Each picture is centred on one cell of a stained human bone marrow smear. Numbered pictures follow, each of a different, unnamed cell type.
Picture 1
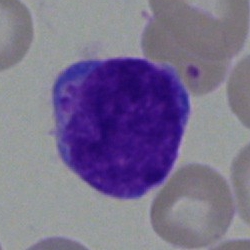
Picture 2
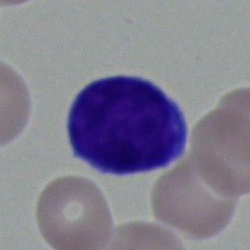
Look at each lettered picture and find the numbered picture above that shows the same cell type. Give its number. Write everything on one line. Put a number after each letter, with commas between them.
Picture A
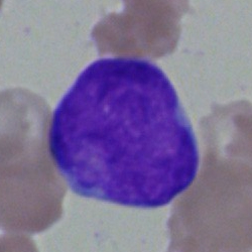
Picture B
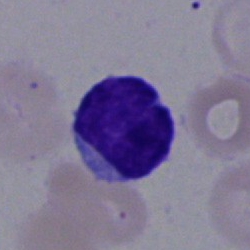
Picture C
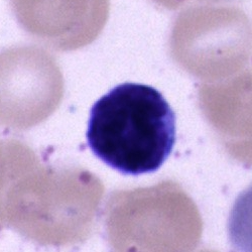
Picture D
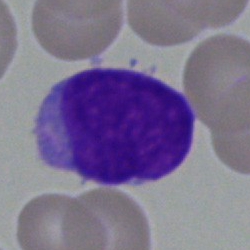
A 1, B 2, C 2, D 1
